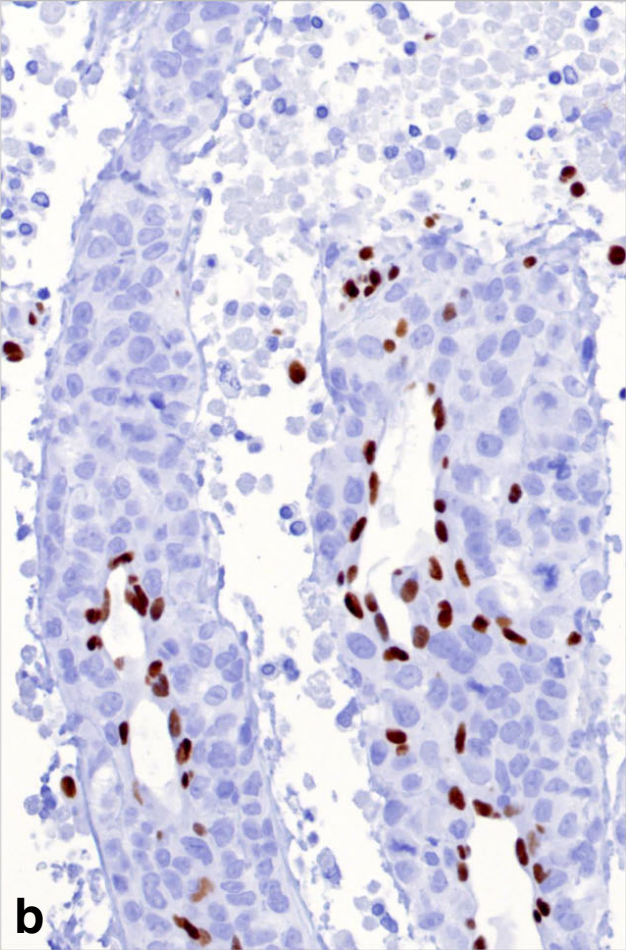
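Tumor tissue in which the large tumor cells with round to oval nuclei are unstained and show only the blue counterstain. Loose, unstained cells lie free in the spaces between the tissue strands.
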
